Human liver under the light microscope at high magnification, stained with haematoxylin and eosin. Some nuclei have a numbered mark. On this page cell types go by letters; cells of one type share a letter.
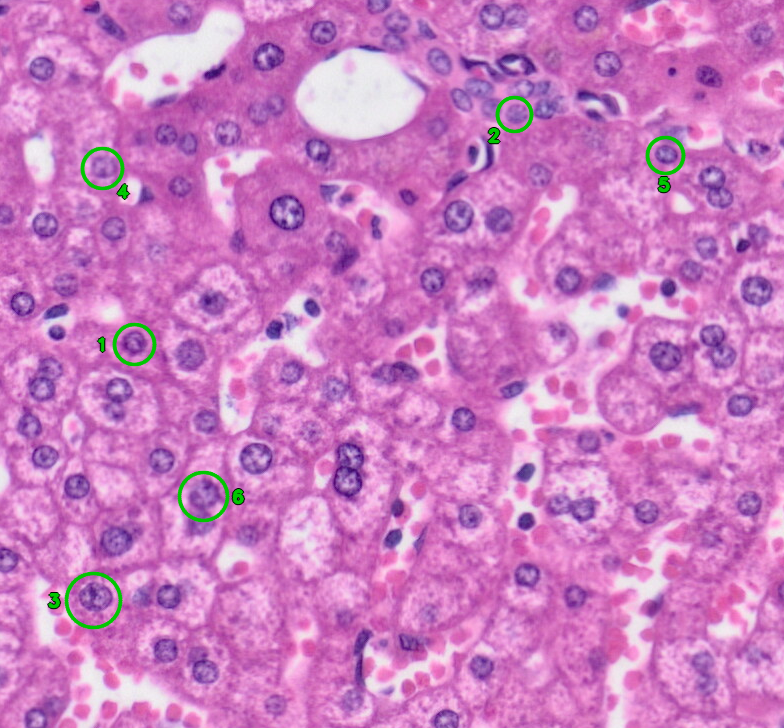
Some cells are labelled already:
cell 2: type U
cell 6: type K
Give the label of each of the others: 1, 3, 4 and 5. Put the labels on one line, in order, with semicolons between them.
type K; type K; type K; type U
